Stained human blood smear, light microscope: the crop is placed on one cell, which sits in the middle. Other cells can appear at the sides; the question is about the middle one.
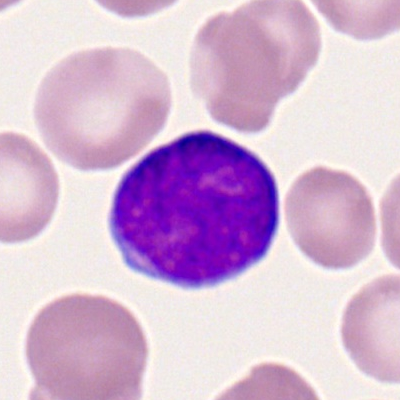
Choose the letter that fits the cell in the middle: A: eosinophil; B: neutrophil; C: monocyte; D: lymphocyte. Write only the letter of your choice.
D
